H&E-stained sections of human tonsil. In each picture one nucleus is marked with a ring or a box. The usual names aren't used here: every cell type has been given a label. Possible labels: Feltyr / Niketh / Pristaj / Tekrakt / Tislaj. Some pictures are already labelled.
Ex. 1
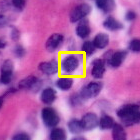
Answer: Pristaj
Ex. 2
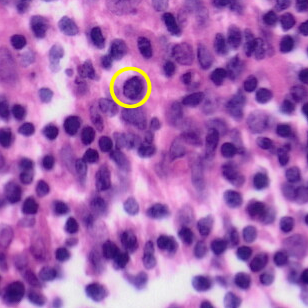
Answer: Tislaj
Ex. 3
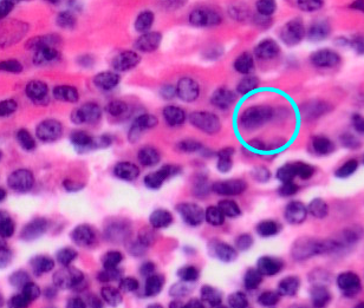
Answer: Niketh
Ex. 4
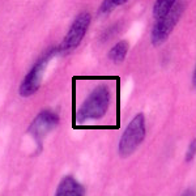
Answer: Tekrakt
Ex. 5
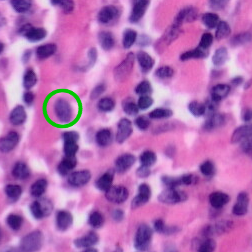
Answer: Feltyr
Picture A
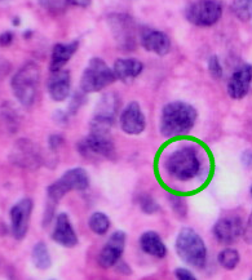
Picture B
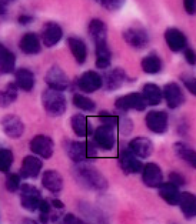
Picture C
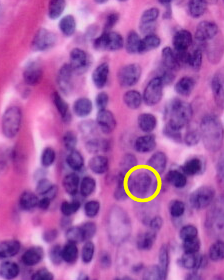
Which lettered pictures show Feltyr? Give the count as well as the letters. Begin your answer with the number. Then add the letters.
0, none of them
